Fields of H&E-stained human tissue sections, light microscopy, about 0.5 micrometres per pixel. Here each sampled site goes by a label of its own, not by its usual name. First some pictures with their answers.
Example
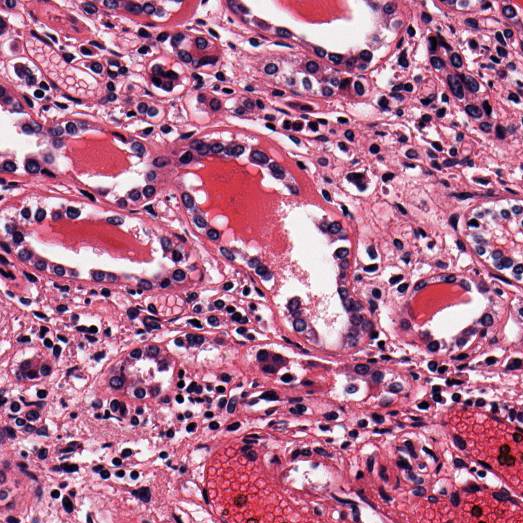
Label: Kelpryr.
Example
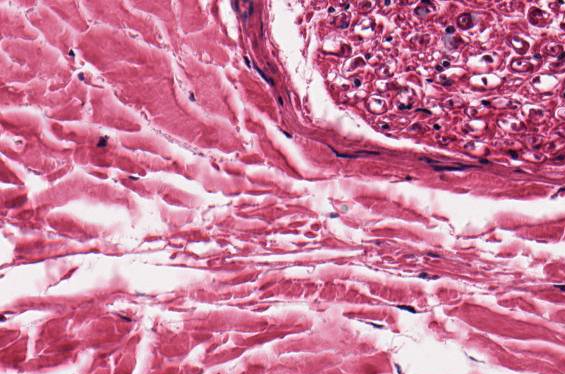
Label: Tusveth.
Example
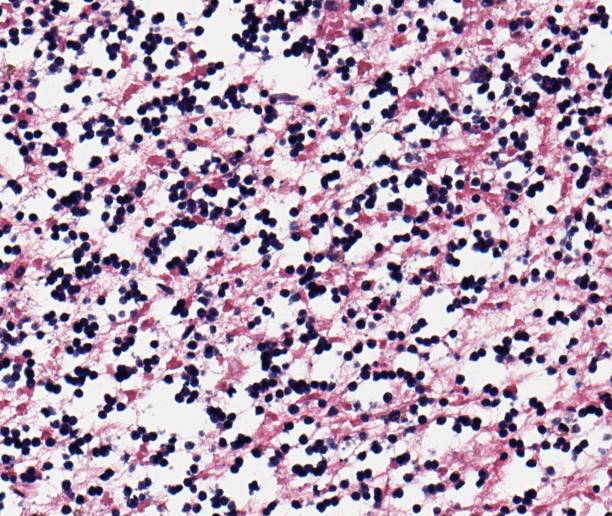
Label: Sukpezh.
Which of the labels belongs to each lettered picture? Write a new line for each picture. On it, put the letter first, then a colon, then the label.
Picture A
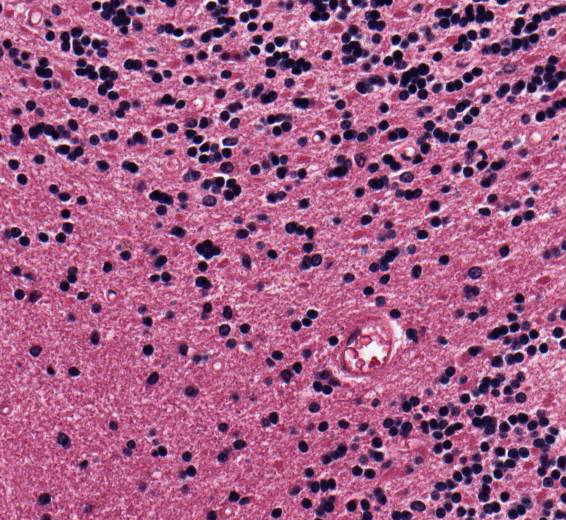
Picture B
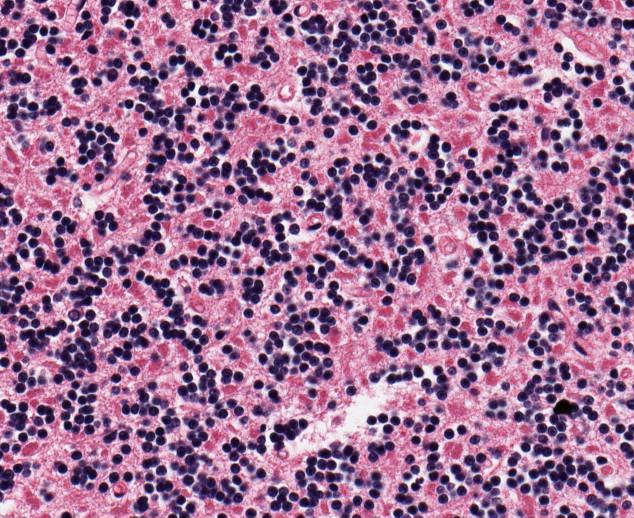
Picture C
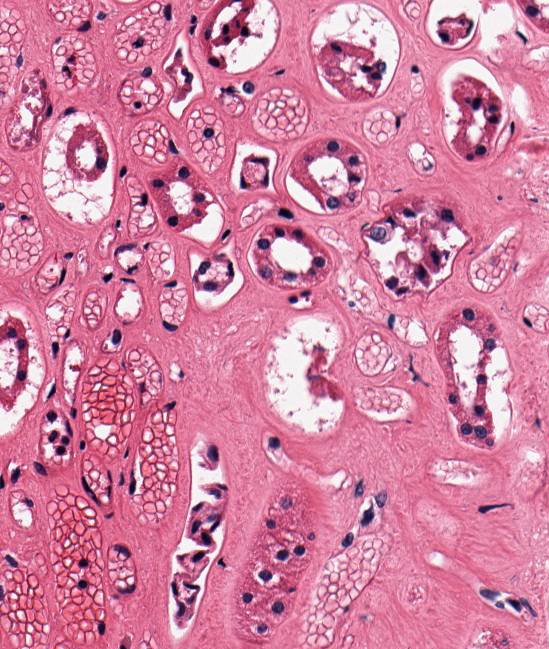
A: Sukpezh.
B: Sukpezh.
C: Kelpryr.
